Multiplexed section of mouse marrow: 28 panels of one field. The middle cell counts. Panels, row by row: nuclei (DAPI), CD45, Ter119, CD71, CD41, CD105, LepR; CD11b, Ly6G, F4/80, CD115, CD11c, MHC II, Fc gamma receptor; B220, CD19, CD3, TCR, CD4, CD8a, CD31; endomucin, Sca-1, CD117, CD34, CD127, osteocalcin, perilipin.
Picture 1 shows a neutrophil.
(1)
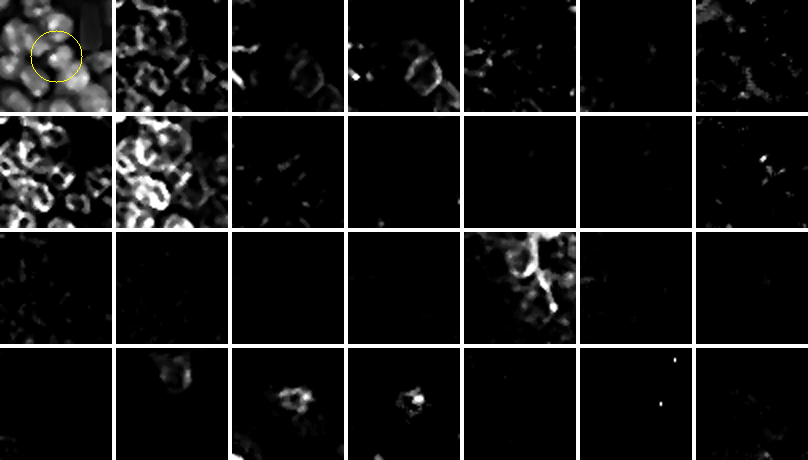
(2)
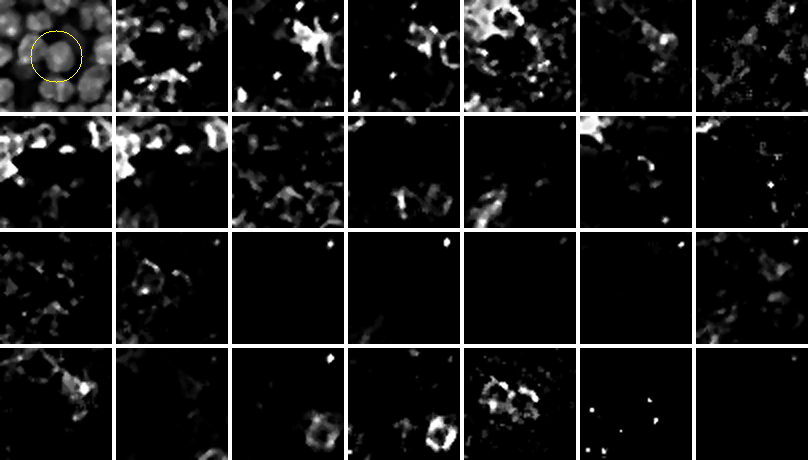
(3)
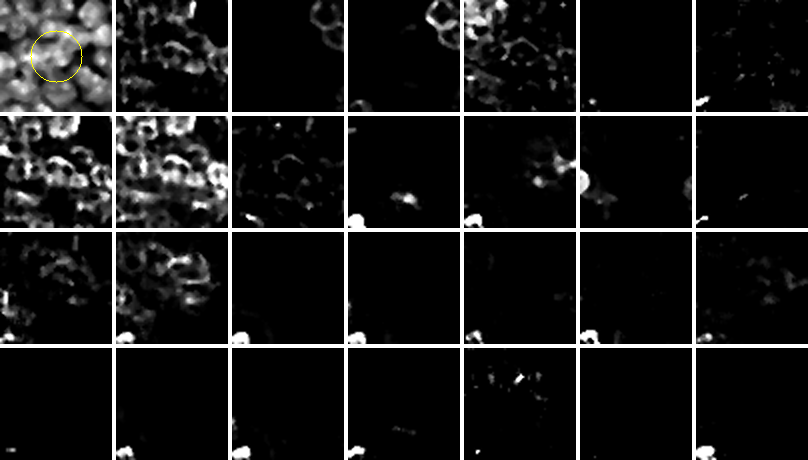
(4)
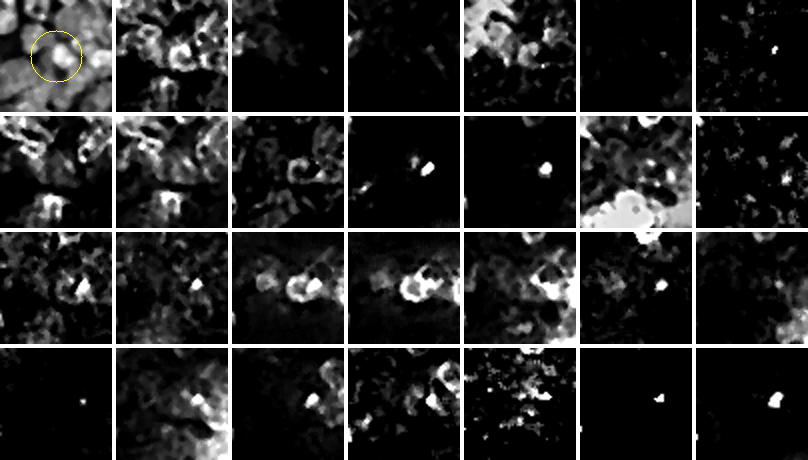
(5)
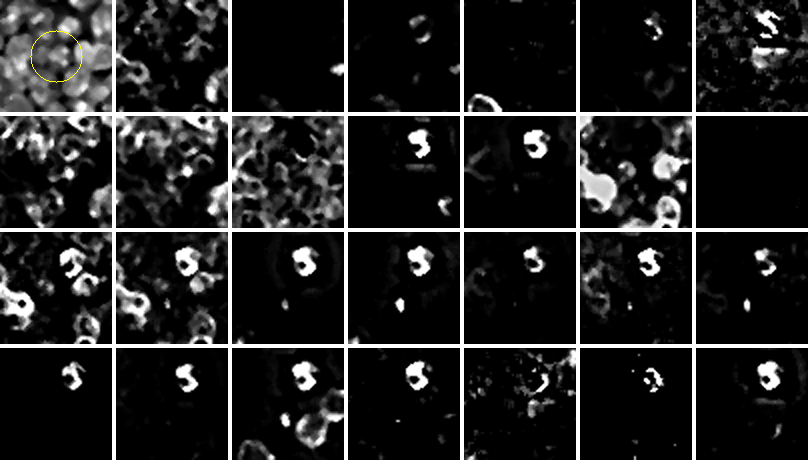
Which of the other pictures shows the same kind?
Picture 3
